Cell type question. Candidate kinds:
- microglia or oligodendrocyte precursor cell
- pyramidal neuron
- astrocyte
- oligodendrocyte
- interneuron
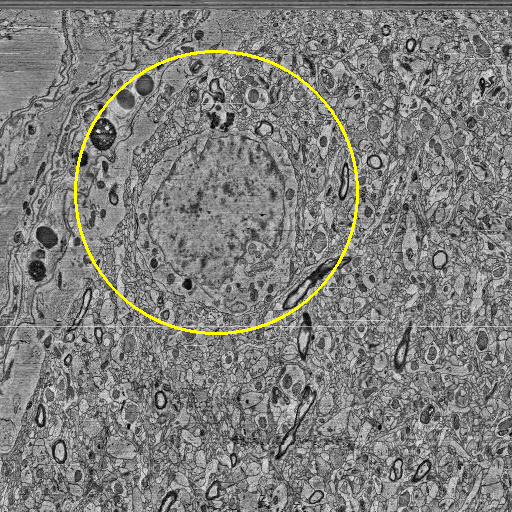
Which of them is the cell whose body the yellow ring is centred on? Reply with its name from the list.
interneuron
